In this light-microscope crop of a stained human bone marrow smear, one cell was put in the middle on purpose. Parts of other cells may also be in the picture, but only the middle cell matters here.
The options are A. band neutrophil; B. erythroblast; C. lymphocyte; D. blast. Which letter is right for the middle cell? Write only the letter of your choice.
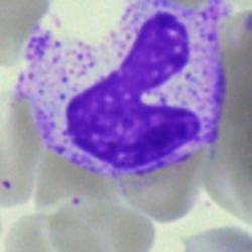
A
